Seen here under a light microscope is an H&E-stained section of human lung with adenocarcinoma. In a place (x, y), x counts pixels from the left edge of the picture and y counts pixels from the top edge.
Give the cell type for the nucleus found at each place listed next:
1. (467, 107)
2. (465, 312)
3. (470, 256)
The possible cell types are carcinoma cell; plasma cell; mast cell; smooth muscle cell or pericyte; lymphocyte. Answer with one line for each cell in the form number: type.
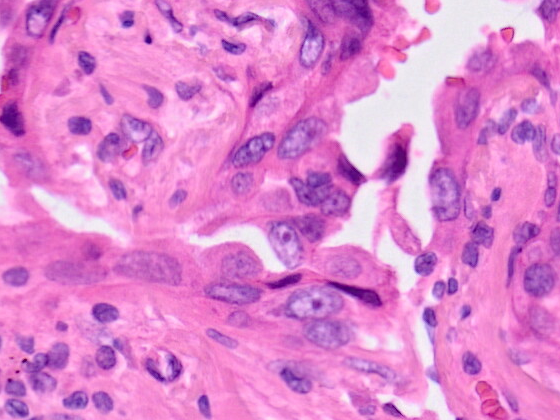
1: carcinoma cell
2: lymphocyte
3: lymphocyte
